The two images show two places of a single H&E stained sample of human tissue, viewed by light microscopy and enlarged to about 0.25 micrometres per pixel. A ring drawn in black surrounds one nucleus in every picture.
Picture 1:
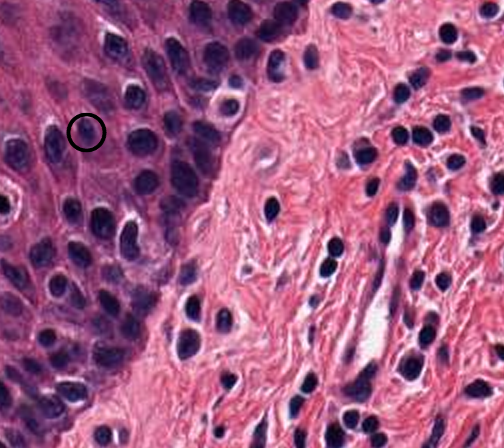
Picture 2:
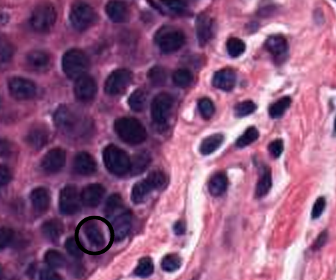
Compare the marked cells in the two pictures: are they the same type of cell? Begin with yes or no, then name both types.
Yes, both are squamous epithelial cells.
